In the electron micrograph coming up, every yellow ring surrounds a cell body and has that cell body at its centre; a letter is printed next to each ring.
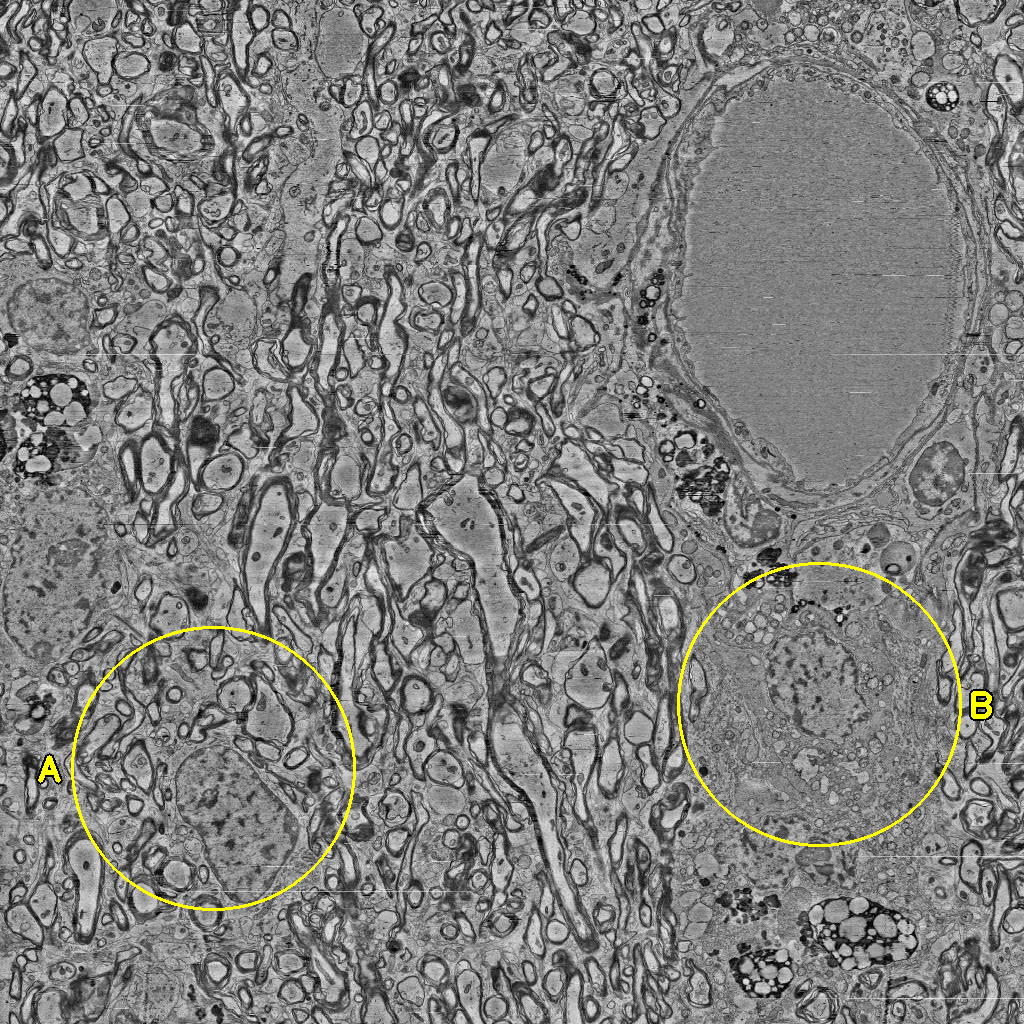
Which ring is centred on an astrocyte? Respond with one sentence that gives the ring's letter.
Ring B is the one whose centre sits on the cell asked for in the picture.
